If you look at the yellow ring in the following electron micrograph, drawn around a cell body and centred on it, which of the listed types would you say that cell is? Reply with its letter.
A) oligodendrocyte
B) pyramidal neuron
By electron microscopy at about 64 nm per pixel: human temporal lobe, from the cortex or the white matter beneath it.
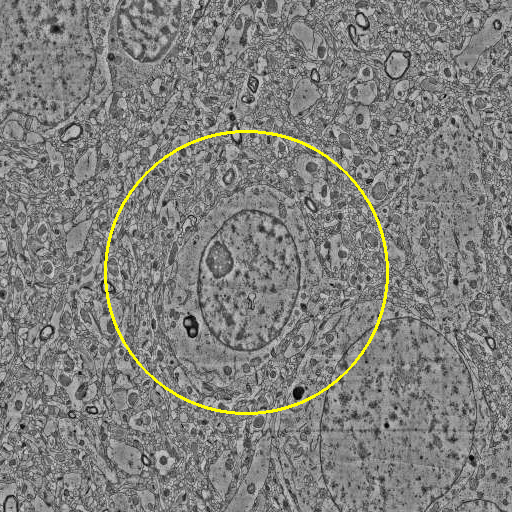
B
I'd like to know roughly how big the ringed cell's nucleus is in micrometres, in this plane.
The ringed cell's nucleus measures approximately 9 by 7 micrometres in this plane.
